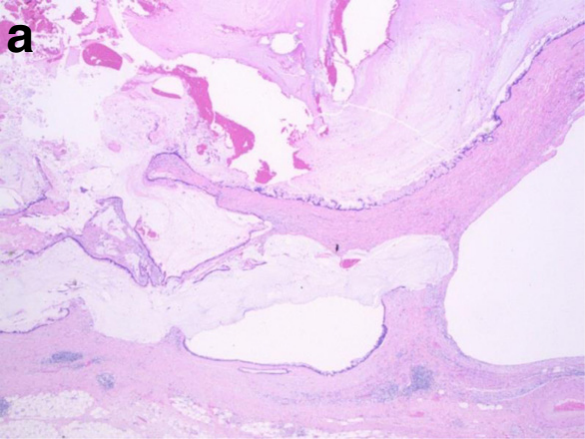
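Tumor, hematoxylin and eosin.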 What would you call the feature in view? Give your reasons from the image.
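Many large empty or mucin-filled spaces separated by pink fibrous septa. A thin layer of epithelium lines the spaces.
Conclusion: multilocular cysts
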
